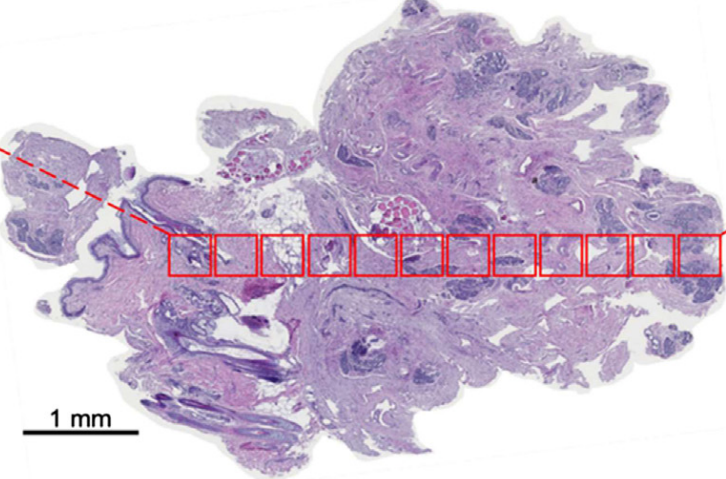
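Dense pink fibrous stroma fills most of the specimen. Scattered through it are darker purple, rounded to elongated clusters of closely packed cells. In places the stroma is loose and frayed, with clefts and empty spaces between the bands of tissue. Near the middle of the fragment are small groups of bright red, rounded bodies.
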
